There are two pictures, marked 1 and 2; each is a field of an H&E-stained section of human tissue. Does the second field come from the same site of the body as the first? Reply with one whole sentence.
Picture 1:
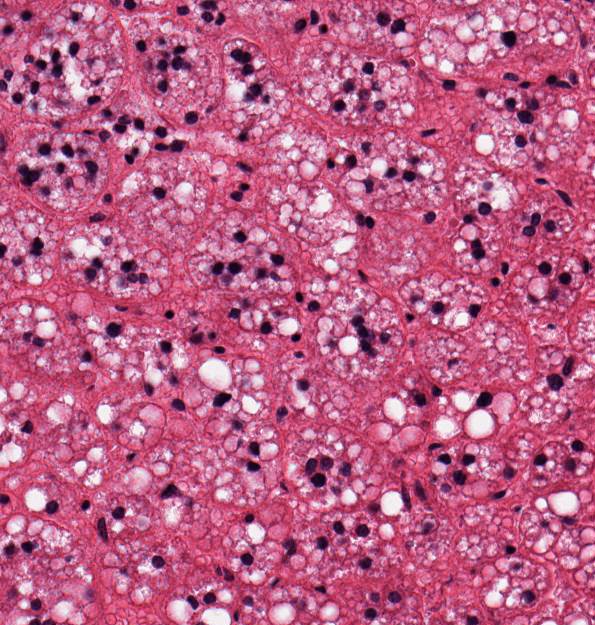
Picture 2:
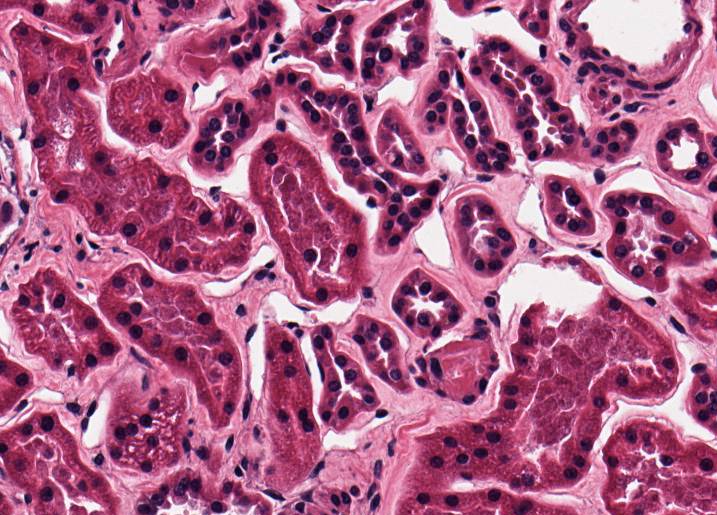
No. Picture 1 comes from the adrenal gland, whereas picture 2 comes from the renal cortex.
